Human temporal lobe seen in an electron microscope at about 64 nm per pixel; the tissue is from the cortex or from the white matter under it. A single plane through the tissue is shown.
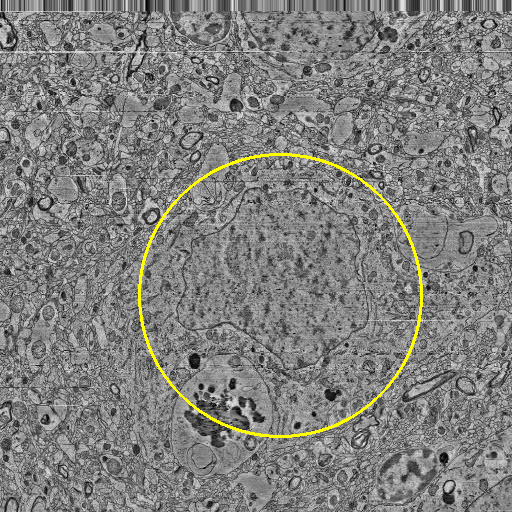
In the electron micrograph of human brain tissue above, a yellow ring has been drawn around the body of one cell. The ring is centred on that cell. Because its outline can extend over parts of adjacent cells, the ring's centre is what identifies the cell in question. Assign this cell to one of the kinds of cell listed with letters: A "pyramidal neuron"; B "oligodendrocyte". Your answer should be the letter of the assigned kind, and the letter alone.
A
